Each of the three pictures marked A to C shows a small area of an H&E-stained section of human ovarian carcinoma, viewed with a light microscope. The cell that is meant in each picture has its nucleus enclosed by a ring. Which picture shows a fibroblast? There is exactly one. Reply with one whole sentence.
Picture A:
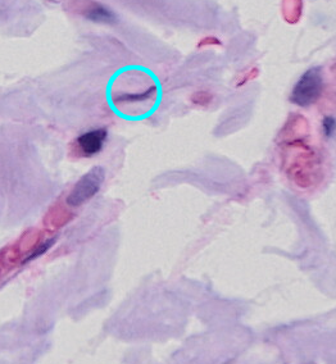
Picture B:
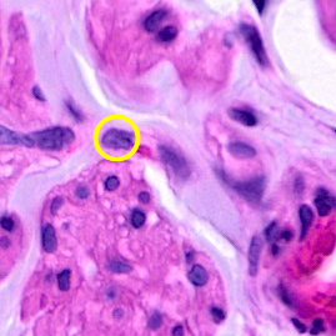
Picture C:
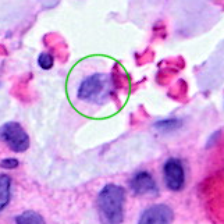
The cell in picture A is the fibroblast.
